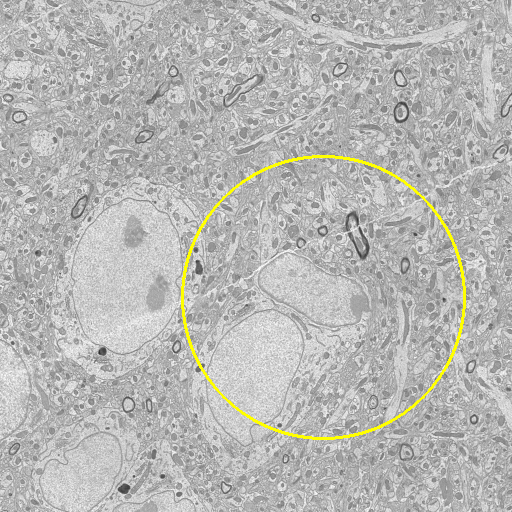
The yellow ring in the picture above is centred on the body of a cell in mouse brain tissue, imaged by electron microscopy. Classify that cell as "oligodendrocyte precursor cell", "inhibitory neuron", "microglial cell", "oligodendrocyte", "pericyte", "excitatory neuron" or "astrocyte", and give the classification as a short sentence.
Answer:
The cell in the middle of the ring is an oligodendrocyte precursor cell.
